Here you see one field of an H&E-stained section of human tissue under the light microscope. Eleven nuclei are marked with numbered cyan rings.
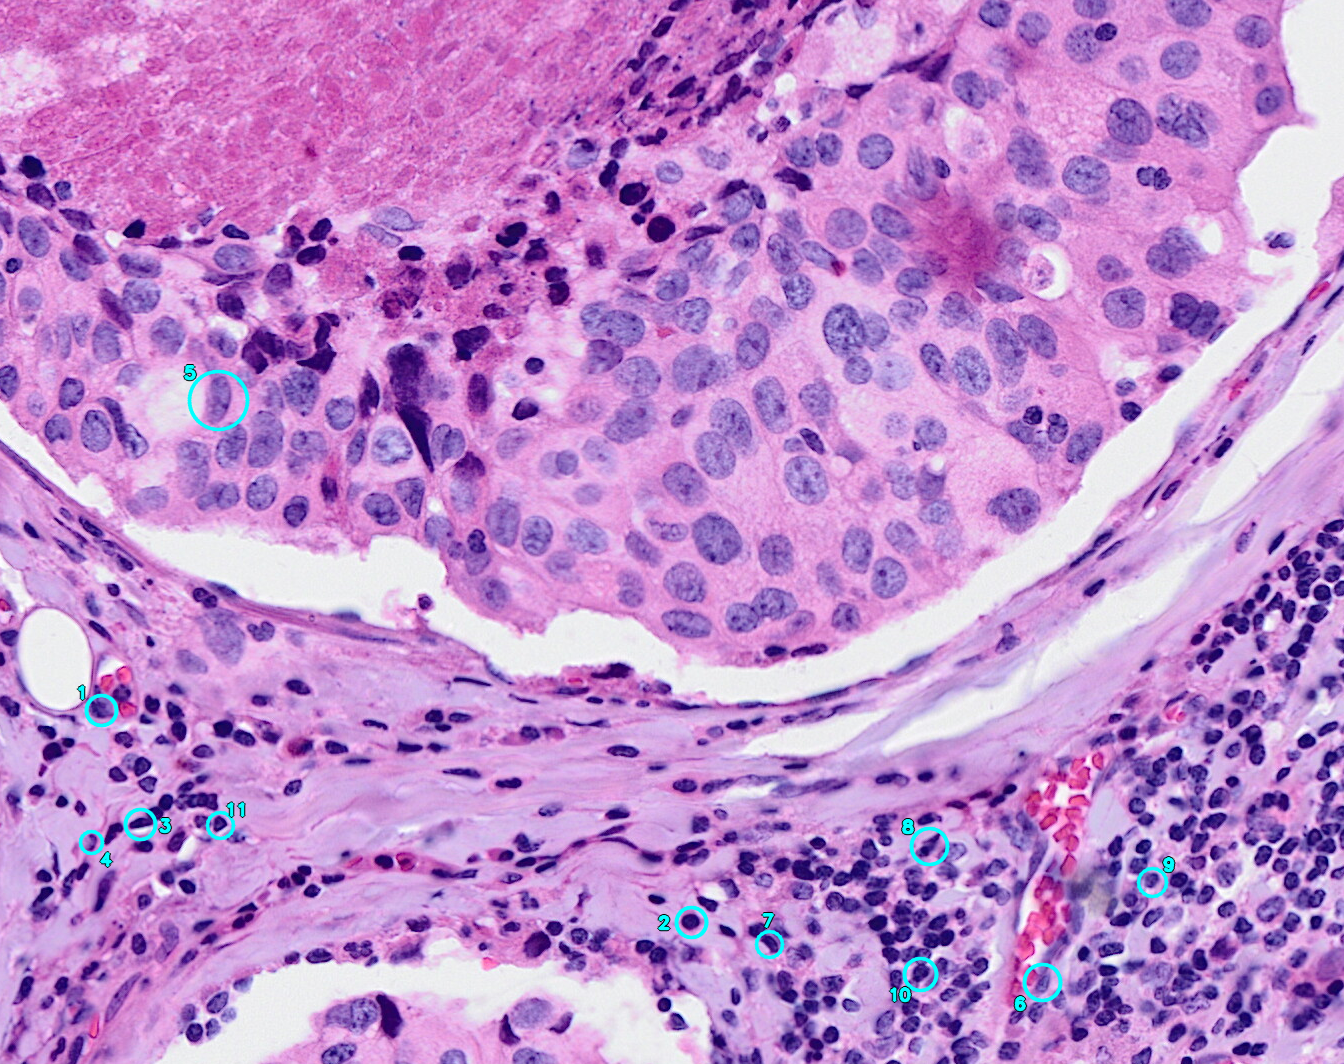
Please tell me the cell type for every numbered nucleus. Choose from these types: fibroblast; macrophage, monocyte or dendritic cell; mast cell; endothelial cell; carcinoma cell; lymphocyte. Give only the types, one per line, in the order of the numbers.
endothelial cell
mast cell
lymphocyte
mast cell
carcinoma cell
endothelial cell
lymphocyte
lymphocyte
lymphocyte
lymphocyte
lymphocyte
